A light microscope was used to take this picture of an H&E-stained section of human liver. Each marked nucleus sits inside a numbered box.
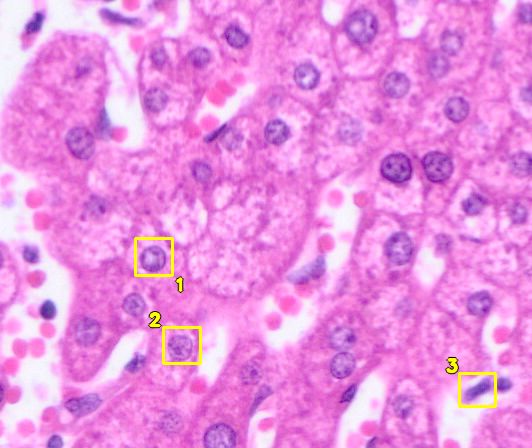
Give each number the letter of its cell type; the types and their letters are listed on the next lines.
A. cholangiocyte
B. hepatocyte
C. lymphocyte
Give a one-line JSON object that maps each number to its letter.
{"1": "B", "2": "B", "3": "C"}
